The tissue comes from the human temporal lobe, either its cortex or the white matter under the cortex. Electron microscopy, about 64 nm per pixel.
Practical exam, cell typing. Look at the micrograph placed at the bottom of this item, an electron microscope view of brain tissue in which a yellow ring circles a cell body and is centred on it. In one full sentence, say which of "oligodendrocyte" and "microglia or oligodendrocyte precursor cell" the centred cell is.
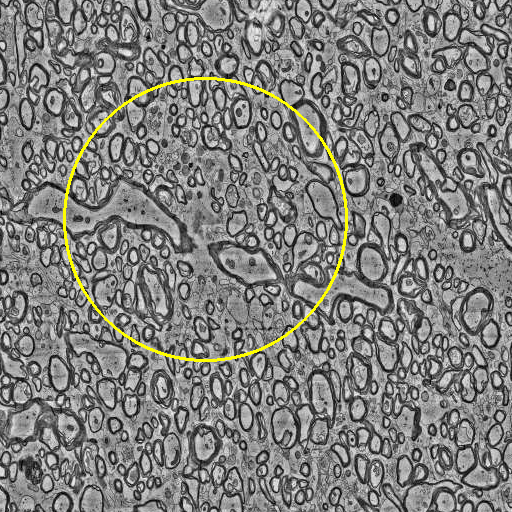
Given the options, an oligodendrocyte fits the cell whose body the yellow ring is centred on.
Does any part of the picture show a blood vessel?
No, there is no blood vessel.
